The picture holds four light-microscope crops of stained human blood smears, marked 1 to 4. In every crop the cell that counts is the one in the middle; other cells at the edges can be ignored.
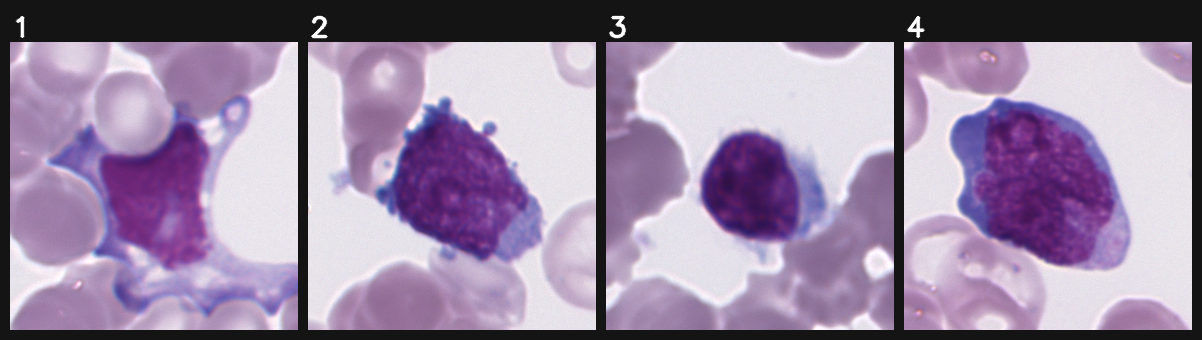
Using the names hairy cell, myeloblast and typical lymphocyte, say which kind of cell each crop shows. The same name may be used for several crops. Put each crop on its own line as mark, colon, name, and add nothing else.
1: typical lymphocyte
2: myeloblast
3: hairy cell
4: myeloblast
